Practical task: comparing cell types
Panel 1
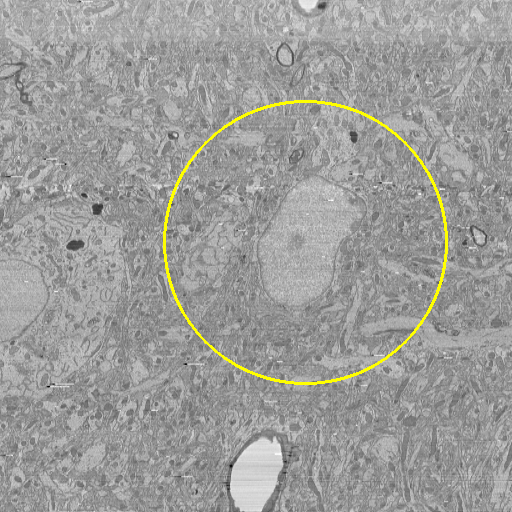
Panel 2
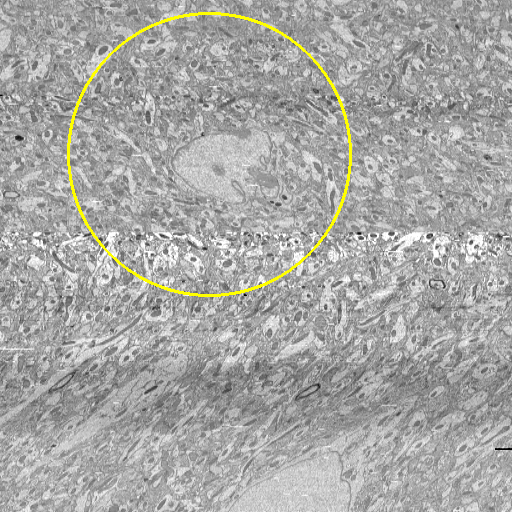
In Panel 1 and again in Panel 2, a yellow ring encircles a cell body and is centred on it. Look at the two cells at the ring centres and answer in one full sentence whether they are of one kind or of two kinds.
The two cells sitting at the ring centres of Panels 1 and 2 are of one kind.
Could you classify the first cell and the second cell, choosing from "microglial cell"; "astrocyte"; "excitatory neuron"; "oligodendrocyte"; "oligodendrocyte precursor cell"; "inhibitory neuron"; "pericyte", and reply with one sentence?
In each picture the ringed cell is an astrocyte.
